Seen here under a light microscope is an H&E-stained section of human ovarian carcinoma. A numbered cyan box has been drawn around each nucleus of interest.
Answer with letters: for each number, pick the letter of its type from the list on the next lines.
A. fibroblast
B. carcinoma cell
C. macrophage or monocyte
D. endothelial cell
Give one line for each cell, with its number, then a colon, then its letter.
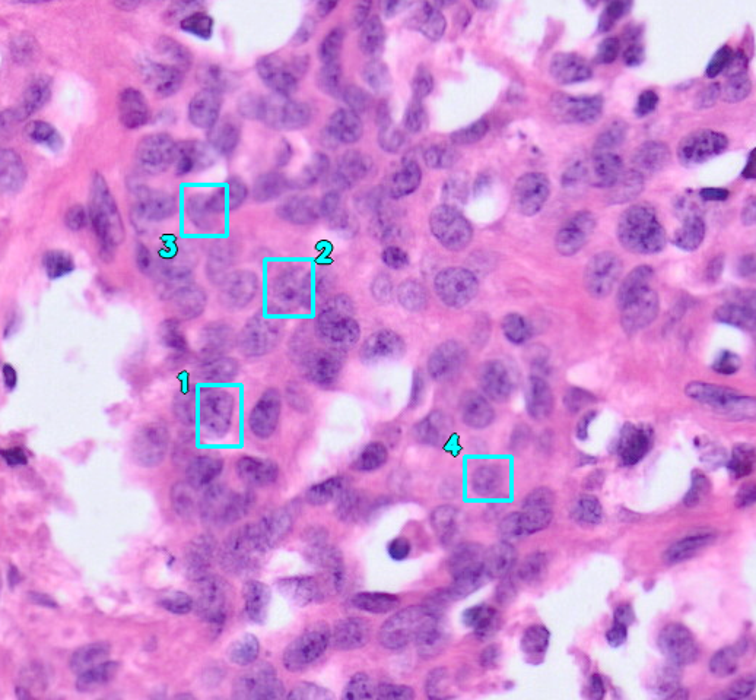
1: C
2: B
3: B
4: B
